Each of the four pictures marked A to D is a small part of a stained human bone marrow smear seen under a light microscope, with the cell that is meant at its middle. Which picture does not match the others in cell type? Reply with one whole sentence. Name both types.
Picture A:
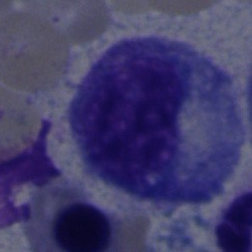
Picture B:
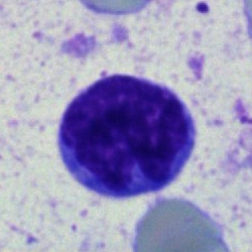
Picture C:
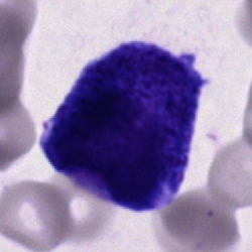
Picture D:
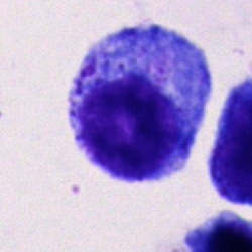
Picture B differs, because its cell is a lymphocyte and the rest are promyelocytes.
